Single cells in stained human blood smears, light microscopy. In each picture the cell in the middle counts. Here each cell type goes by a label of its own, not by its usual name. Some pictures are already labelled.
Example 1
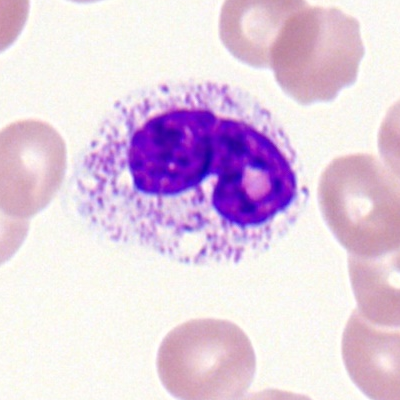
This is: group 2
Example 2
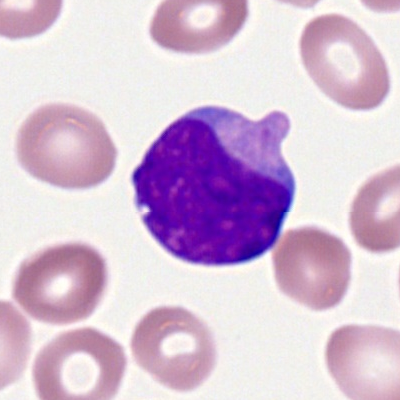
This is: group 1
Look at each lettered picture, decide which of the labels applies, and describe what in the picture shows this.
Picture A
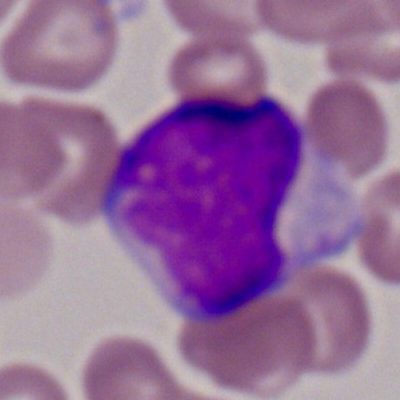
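Answer: group 1. The nucleus fills most of the cell.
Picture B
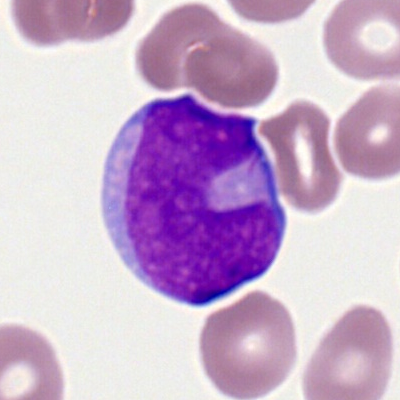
Answer: group 1. The cytoplasm forms a thin rim that is widest on the left side.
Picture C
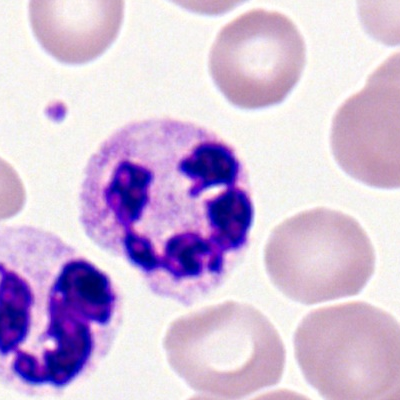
Answer: group 2. The nucleus is split into more than three separate lobes.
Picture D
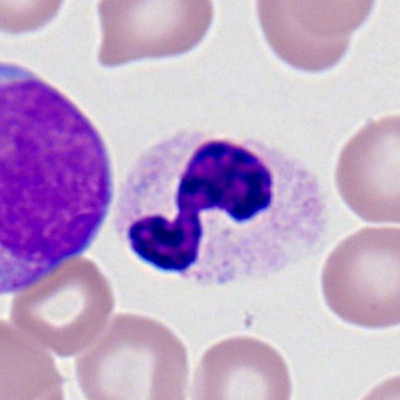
Answer: group 2. The cytoplasm is abundant and pale pinkish-lilac.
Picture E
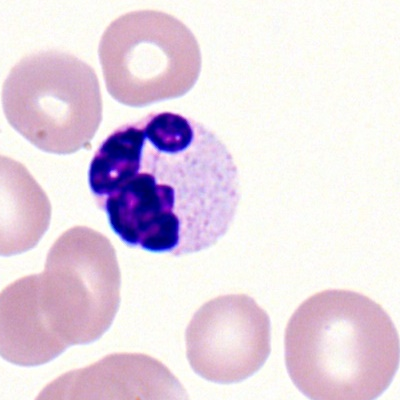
Answer: group 2. The nucleus is divided into several separate lobes.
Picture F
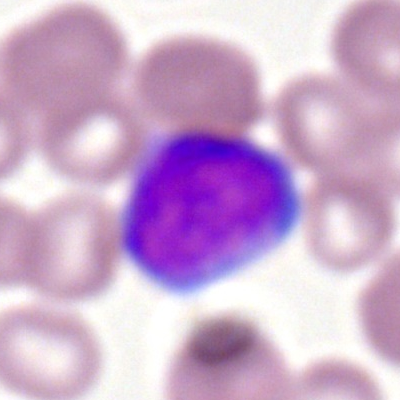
Answer: group 1. The nucleus is a single unlobed mass that fills most of the cell.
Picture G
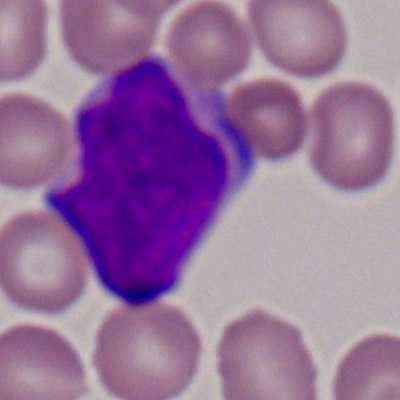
Answer: group 1. Cytoplasm is scant, showing only as a thin rim at the edge.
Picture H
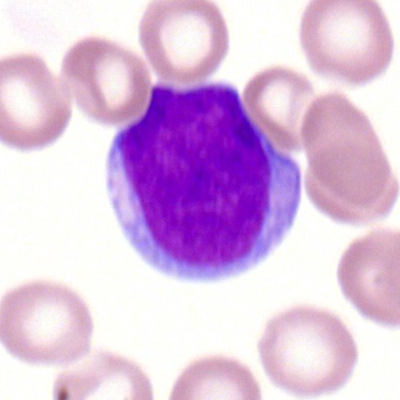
Answer: group 1. The nucleus fills most of the cell and sits toward the top of it.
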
